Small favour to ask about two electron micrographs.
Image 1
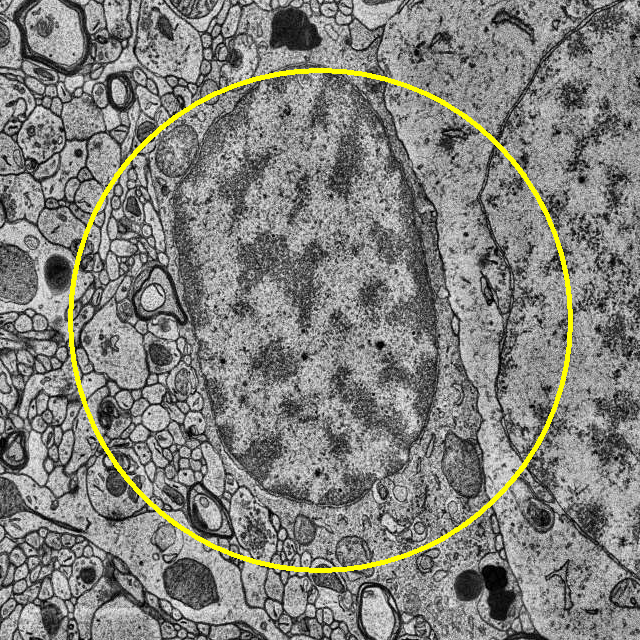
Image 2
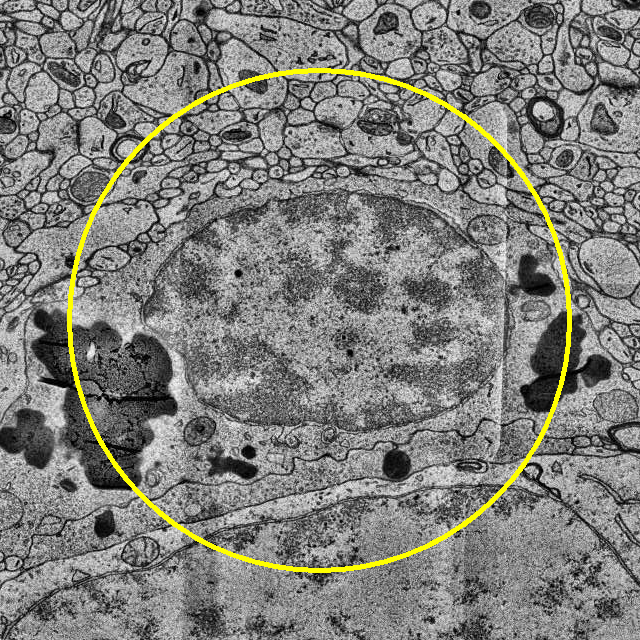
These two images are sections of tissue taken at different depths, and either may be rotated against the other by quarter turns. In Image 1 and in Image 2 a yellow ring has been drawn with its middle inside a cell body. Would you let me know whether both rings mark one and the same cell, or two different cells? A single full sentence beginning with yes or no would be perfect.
Yes, each ring singles out the same cell.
